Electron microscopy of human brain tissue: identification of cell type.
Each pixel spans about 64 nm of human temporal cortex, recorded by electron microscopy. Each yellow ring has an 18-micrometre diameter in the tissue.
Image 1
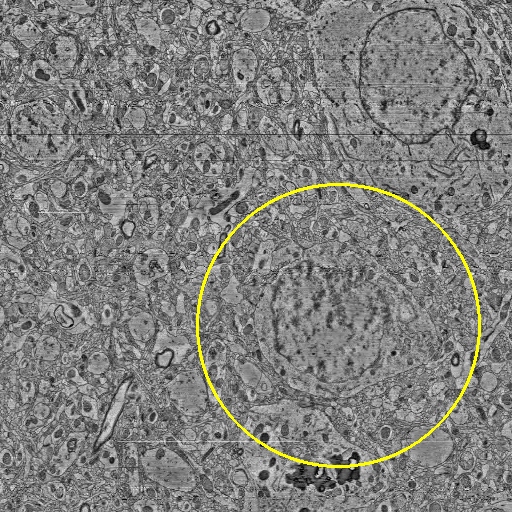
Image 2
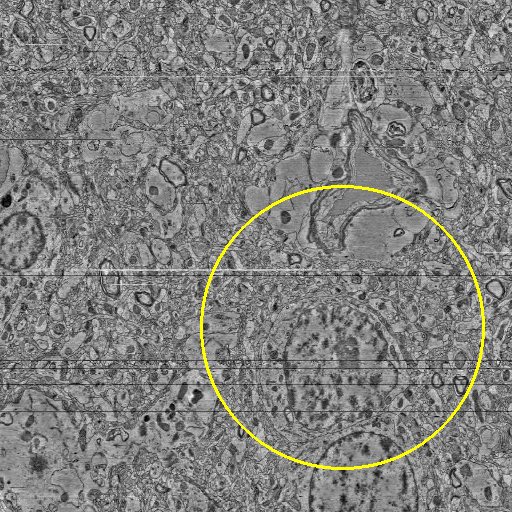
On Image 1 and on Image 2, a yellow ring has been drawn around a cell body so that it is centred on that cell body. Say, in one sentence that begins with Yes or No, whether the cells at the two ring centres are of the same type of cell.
Yes, both cells are the same type of cell.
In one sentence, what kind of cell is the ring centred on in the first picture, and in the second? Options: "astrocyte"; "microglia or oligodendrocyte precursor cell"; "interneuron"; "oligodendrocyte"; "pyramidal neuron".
Each of the two pictures has an interneuron at the ring centre.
